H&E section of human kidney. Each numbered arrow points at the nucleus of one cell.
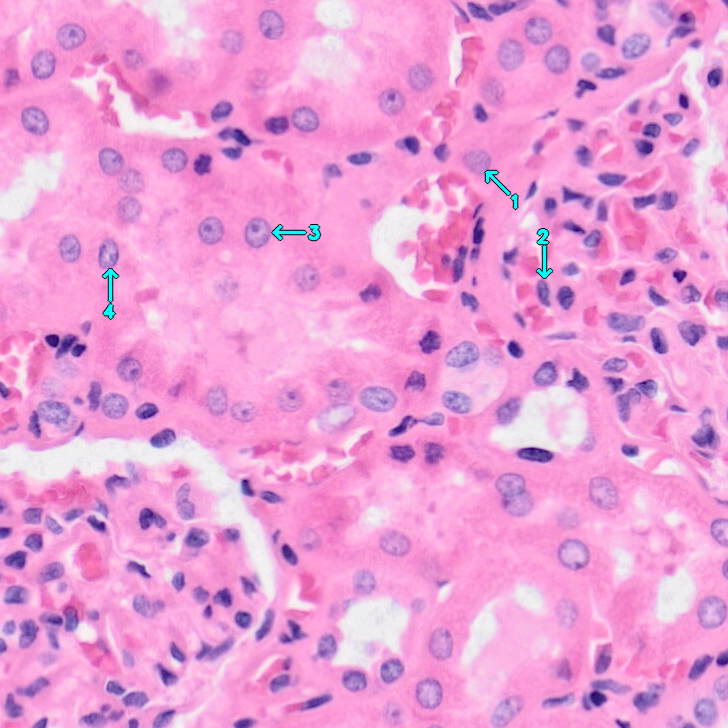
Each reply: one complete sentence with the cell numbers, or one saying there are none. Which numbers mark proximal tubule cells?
The cells referred to by numbers 1, 3 and 4 are proximal tubule cells.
